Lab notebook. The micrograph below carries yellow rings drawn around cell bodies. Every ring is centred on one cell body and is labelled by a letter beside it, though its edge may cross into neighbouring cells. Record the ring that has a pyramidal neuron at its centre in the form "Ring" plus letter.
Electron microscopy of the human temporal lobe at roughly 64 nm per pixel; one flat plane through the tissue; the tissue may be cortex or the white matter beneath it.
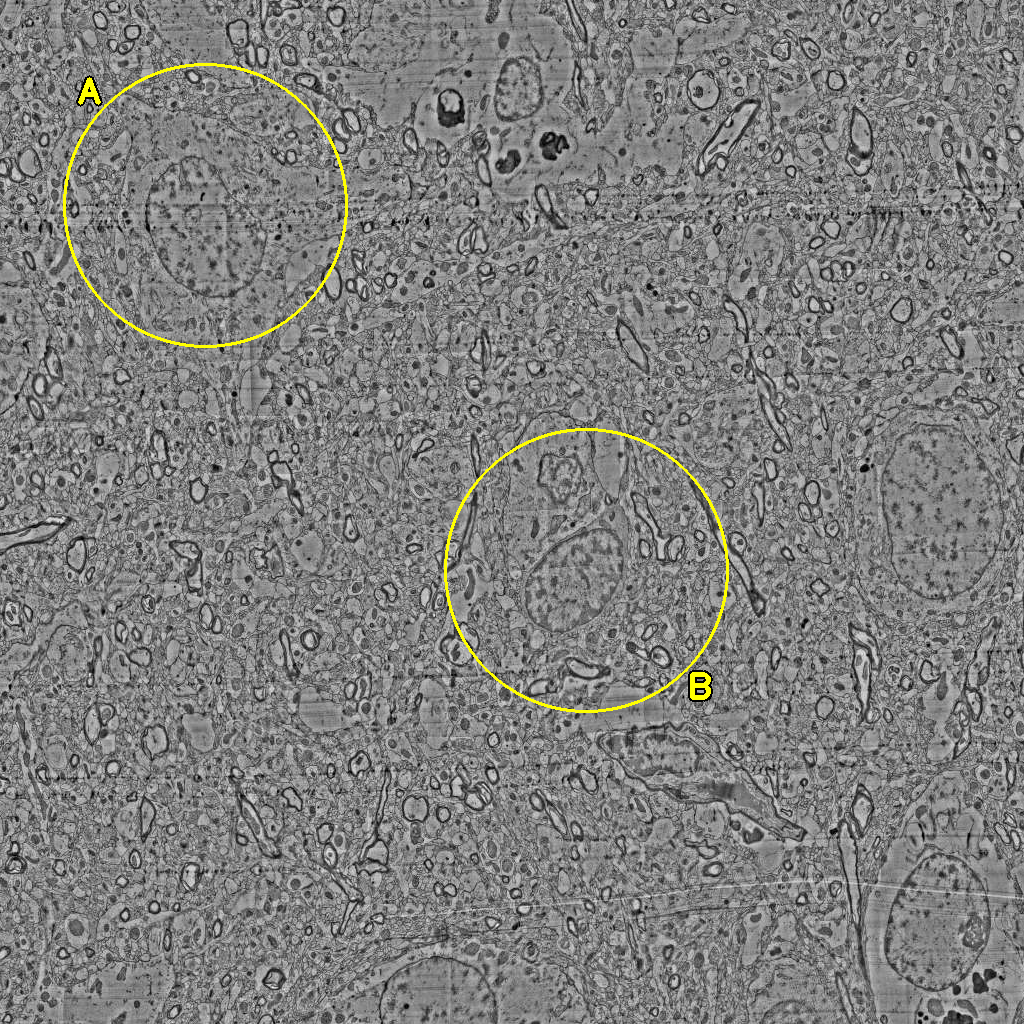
Ring A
